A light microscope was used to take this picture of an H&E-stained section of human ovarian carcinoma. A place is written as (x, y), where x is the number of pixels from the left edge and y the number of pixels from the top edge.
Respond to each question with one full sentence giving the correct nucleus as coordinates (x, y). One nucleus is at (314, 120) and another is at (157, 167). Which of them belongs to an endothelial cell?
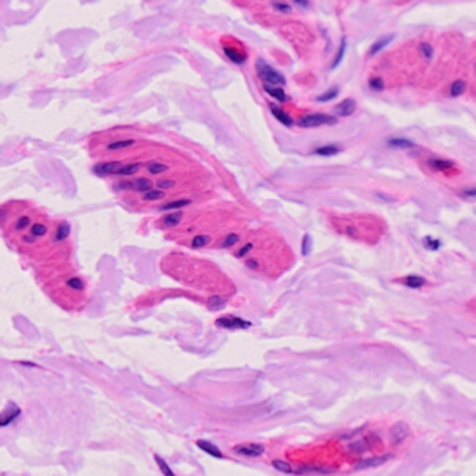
The nucleus at (314, 120) is attributed to an endothelial cell, unlike the other nucleus.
